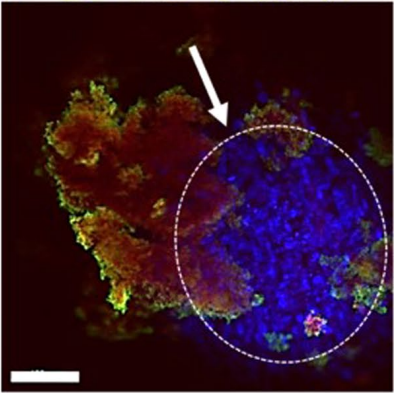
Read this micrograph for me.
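A compact, roughly round aggregate of densely packed blue nuclei occupies the right half, outlined by a dashed circle and indicated by a white arrow. Nuclei are small, round and closely spaced with little visible cytoplasm. Along its left side lies a broad, irregular sheet of red-orange material with yellow-green flecks at its margins, extending away from the aggregate. Small fragments of green and red material lie at the edges and a few spots within the aggregate. Background is dark.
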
